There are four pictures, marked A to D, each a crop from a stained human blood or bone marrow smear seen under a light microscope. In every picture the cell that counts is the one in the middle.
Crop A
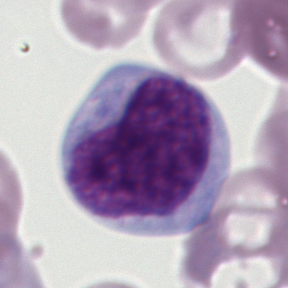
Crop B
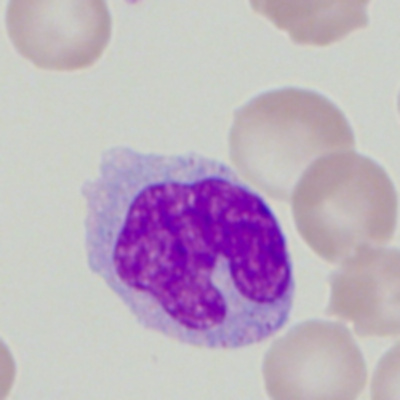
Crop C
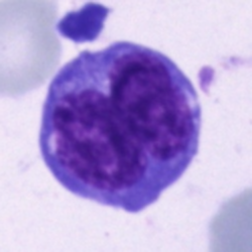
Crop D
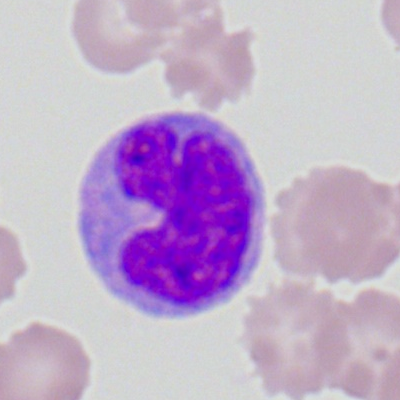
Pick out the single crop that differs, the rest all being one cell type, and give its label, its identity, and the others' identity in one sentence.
Crop C shows a blast, while all of the others show monocytes.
